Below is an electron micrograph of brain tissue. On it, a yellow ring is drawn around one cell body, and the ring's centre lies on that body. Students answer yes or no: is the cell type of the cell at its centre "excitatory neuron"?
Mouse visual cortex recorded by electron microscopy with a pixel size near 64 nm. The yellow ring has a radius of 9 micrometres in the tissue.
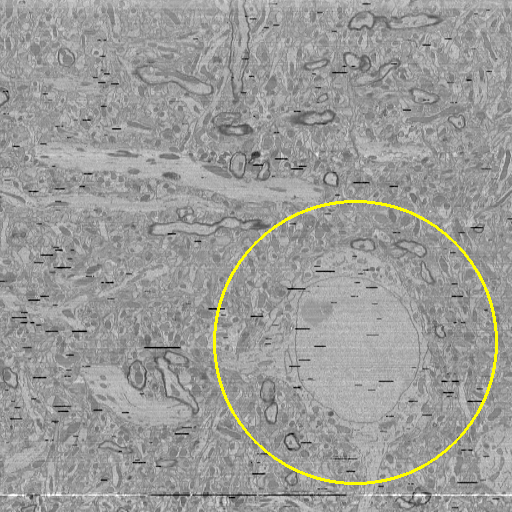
yes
